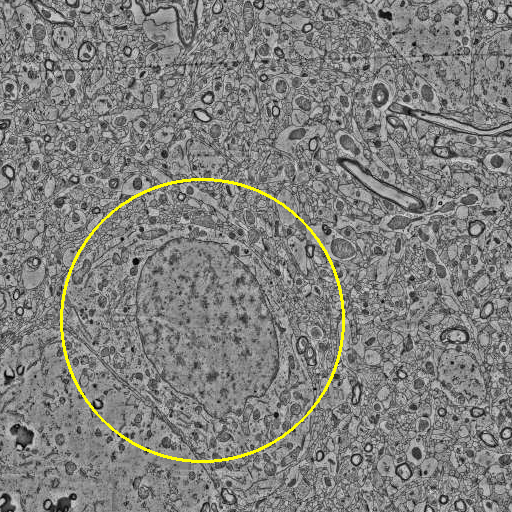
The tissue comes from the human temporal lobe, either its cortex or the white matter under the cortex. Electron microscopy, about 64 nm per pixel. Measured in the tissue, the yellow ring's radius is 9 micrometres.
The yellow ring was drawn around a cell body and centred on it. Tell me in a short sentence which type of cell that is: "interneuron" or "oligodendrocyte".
The cell at the ring's centre is an interneuron.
